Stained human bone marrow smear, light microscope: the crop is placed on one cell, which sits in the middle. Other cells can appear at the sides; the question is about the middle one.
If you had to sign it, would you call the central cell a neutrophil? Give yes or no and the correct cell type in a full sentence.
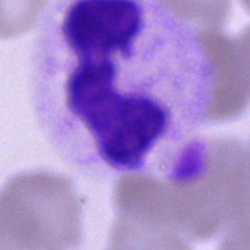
Yes, what sits in the middle of the crop is a neutrophil.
